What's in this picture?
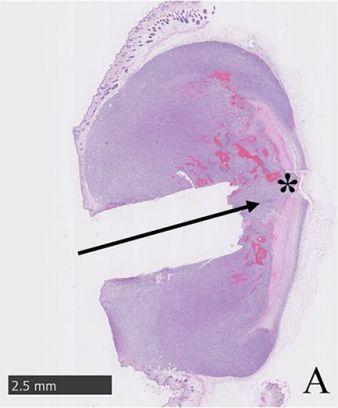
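Further away the tissue keeps an even purple stain. A thin layer of covering tissue with small glands runs along the upper edge.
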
